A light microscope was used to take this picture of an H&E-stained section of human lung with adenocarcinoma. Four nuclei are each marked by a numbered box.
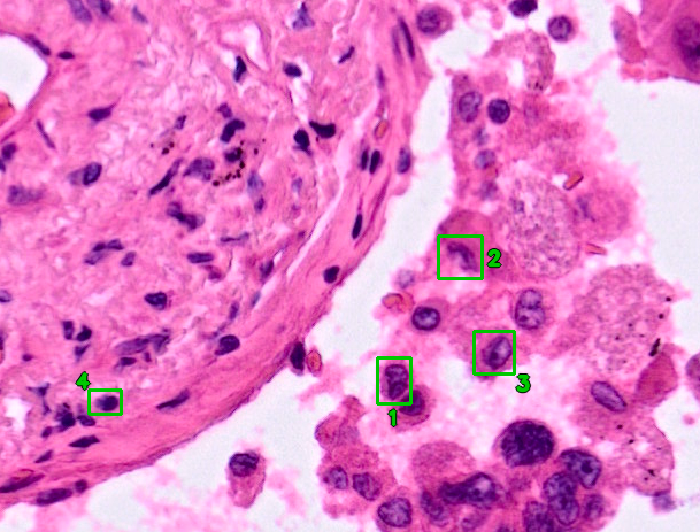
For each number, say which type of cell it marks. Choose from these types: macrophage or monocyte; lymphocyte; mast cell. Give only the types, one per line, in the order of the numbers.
macrophage or monocyte
macrophage or monocyte
macrophage or monocyte
lymphocyte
